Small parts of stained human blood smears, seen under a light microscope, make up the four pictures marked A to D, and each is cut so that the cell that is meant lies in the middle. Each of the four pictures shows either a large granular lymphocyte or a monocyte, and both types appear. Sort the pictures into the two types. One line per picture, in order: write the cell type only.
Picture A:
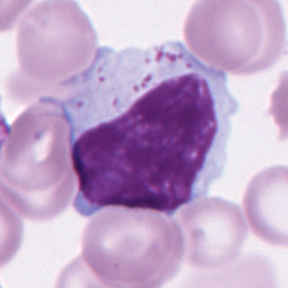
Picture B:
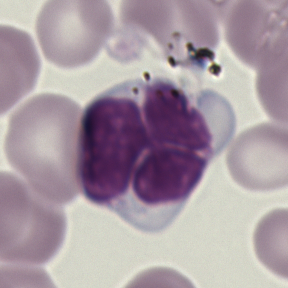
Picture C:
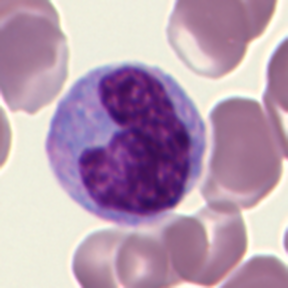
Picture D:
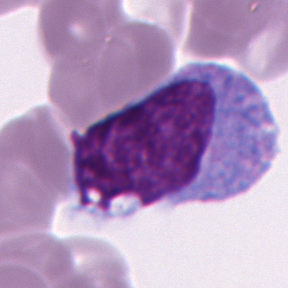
large granular lymphocyte
large granular lymphocyte
monocyte
monocyte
